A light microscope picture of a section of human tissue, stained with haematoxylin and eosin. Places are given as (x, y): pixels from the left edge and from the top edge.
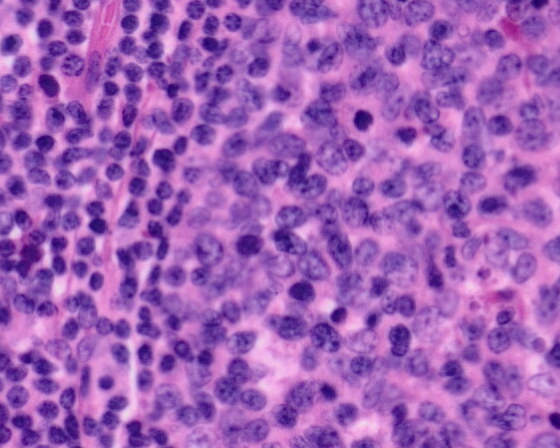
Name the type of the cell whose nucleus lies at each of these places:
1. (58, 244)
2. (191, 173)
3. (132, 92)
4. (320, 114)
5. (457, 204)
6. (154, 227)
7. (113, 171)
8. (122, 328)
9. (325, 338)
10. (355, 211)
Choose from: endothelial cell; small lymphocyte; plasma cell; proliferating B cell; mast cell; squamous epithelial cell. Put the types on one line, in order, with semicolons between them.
small lymphocyte; proliferating B cell; small lymphocyte; proliferating B cell; proliferating B cell; small lymphocyte; small lymphocyte; small lymphocyte; proliferating B cell; proliferating B cell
